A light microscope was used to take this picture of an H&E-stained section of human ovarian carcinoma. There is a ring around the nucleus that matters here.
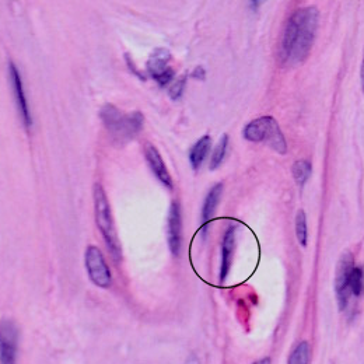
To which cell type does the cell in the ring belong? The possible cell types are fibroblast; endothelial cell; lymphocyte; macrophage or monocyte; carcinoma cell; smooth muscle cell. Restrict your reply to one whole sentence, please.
As a matter of cell type, the cell in the ring is an endothelial cell.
